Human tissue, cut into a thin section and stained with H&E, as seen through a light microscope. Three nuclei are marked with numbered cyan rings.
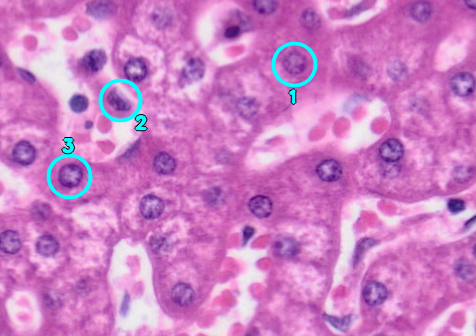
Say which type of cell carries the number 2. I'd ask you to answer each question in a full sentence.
Within this field of view, the cell labelled 2 is a Kupffer cell.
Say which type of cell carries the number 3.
The expected answer is that cell 3 is a hepatocyte.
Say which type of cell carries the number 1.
Among the marked cells, number 1 is a hepatocyte.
